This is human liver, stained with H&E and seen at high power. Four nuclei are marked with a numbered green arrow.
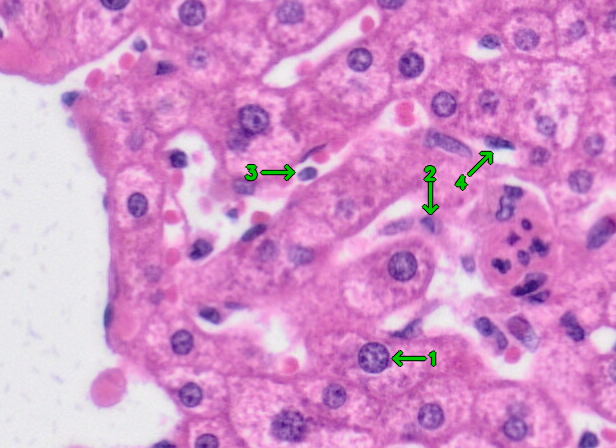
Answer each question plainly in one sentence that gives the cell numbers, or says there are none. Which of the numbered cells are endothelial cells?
Only one marked cell, number 4, is an endothelial cell.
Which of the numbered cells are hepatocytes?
Cell 1 is the single numbered cell that is a hepatocyte.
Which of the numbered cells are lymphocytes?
Cell 3 represents a lymphocyte, and no other numbered cell does.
